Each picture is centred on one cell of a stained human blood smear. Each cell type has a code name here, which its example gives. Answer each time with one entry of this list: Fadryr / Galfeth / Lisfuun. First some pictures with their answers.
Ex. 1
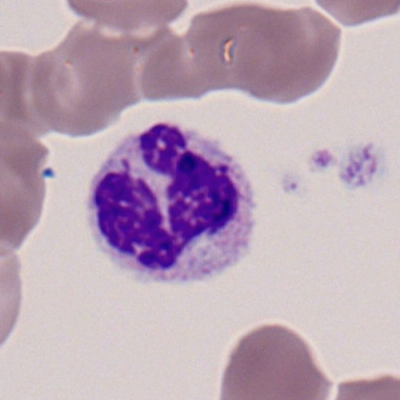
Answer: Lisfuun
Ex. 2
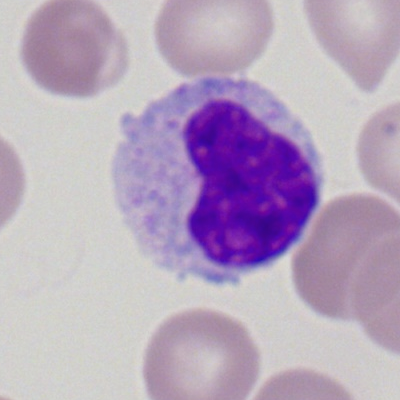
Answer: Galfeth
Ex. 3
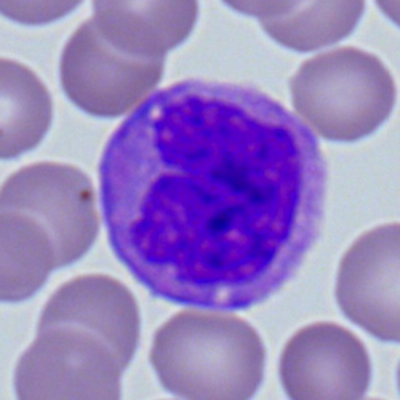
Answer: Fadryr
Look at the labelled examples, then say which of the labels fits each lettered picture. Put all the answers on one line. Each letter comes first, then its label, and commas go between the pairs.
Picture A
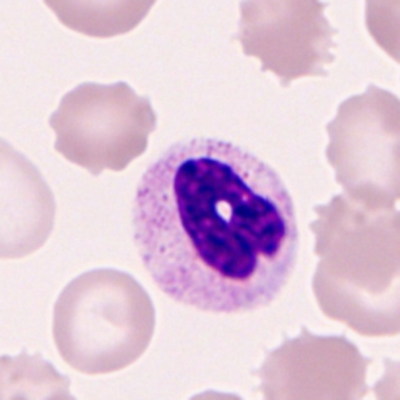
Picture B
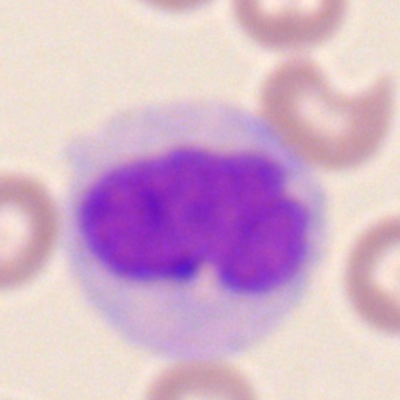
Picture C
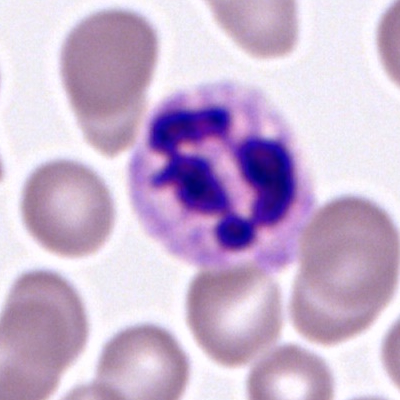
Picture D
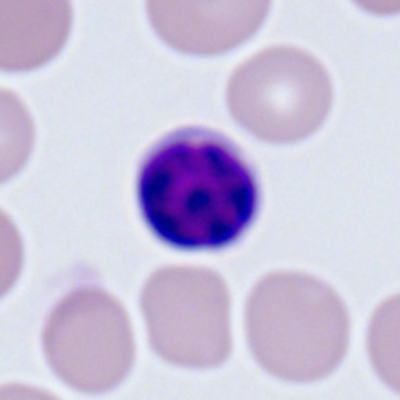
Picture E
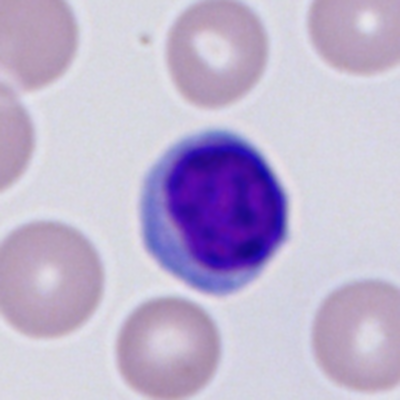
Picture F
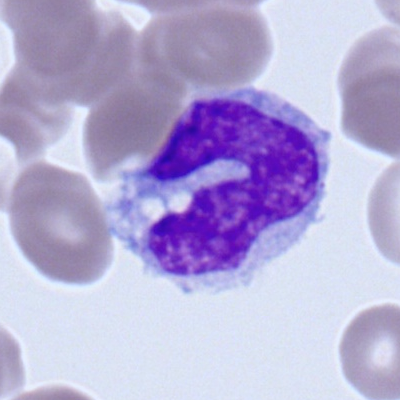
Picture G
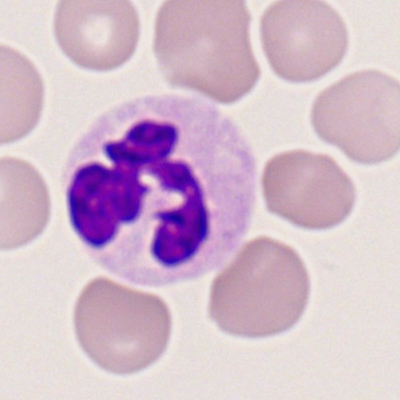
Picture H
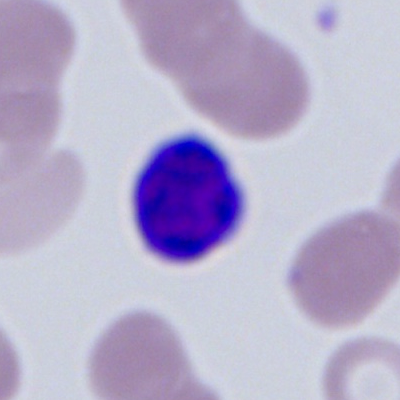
A Lisfuun, B Fadryr, C Lisfuun, D Galfeth, E Galfeth, F Fadryr, G Lisfuun, H Galfeth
